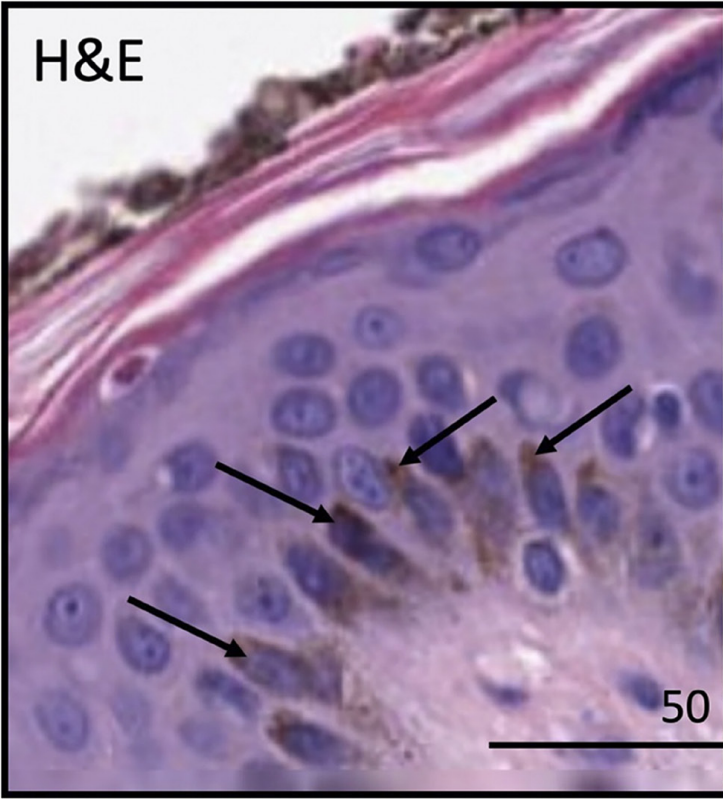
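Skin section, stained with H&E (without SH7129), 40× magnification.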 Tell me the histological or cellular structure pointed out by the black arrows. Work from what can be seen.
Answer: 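Melanin. The arrows point to brown granular material inside cells. The brown material lies in the lowest cell layers, below the pink cornified layer. The brown material sits beside blue nuclei, not in them.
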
